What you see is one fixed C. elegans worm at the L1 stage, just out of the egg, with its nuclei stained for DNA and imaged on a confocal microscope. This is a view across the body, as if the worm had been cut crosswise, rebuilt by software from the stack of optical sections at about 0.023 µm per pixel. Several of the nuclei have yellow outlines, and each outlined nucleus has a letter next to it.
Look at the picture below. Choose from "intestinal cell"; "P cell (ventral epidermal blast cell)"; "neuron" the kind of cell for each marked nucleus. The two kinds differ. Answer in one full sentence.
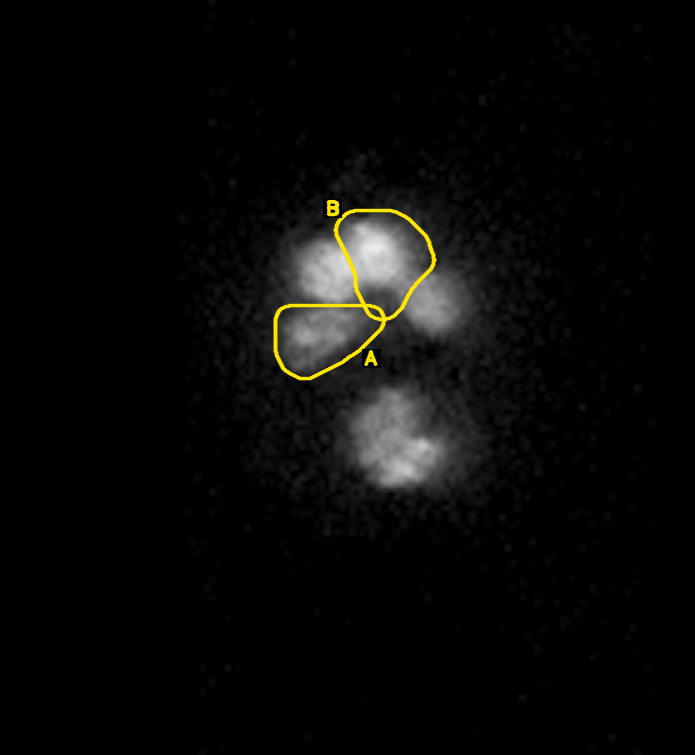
A is in an intestinal cell and B is in a neuron.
